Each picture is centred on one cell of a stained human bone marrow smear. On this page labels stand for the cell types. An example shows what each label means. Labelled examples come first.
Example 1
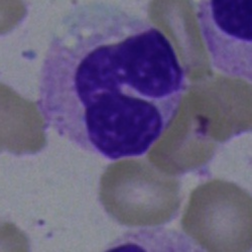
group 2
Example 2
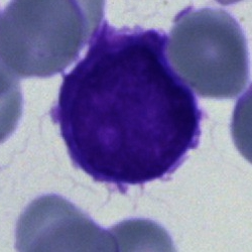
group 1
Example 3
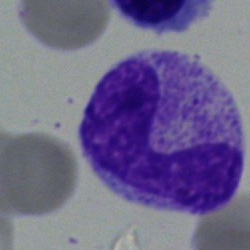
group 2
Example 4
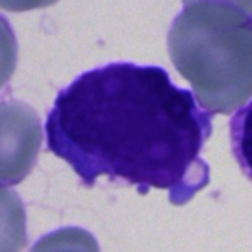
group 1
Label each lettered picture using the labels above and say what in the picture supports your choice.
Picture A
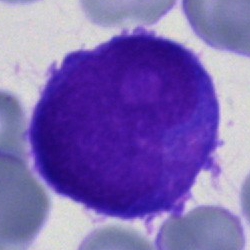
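group 1. The chromatin looks fine and evenly spread rather than clumped.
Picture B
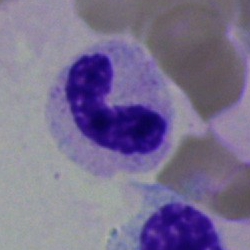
group 2. The chromatin is dark purple and coarsely clumped with small paler gaps.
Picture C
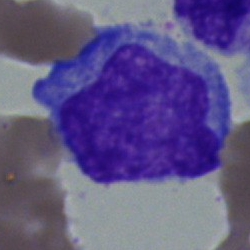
group 1. The nucleus is large and angular in outline, filling most of the cell.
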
